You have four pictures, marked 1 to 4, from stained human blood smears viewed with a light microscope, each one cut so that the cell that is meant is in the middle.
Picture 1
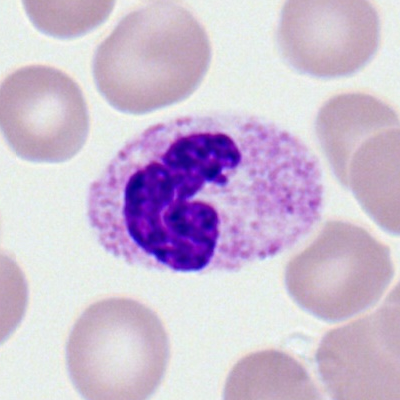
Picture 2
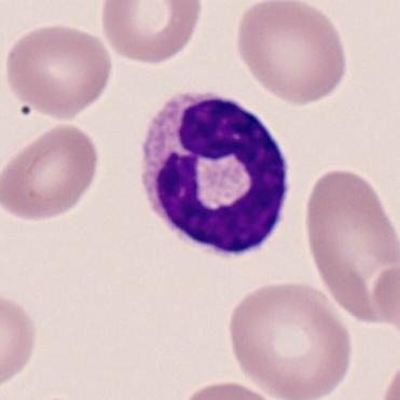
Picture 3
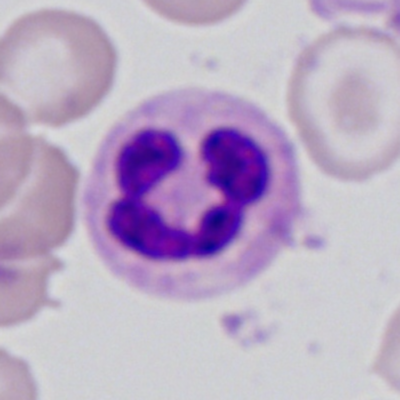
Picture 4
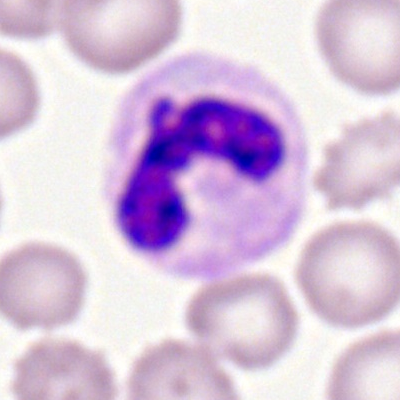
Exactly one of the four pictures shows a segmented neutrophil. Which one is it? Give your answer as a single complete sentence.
The cell in picture 3 is the segmented neutrophil.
